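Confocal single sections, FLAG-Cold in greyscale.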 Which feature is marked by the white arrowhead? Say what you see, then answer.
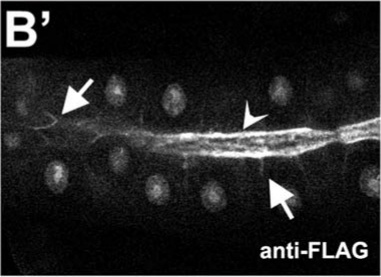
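The arrowhead points to a bright white elongated band in the middle of the gland. Rows of large cells with round nuclei flank the band above and below.
Conclusion: salivary gland lumen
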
